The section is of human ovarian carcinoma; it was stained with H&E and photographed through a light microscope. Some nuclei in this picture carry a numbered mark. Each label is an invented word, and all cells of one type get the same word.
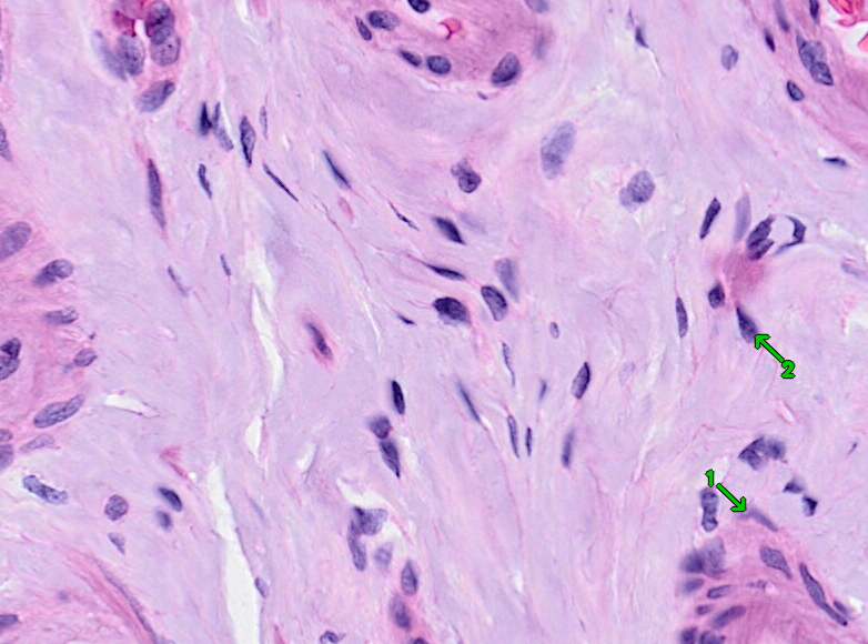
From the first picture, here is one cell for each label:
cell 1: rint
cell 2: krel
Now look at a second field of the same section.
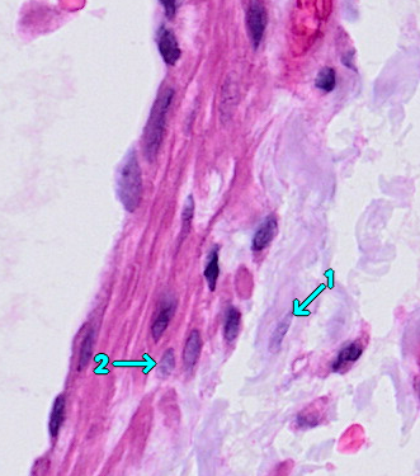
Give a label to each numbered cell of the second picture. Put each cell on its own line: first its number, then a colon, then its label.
1: krel
2: rint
